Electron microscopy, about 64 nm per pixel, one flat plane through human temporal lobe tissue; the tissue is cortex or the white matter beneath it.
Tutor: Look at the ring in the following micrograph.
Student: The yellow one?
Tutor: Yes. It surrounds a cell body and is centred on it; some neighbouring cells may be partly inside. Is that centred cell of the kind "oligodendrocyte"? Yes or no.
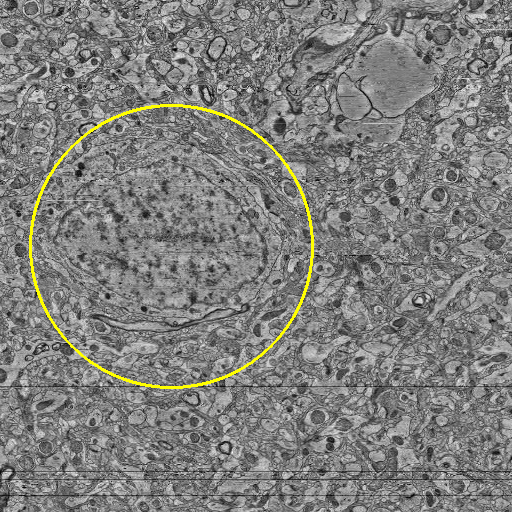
no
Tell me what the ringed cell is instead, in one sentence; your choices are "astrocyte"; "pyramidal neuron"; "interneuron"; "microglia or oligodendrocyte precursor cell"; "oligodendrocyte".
The cell enclosed by the ring is an interneuron.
